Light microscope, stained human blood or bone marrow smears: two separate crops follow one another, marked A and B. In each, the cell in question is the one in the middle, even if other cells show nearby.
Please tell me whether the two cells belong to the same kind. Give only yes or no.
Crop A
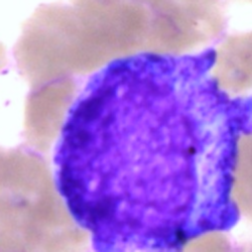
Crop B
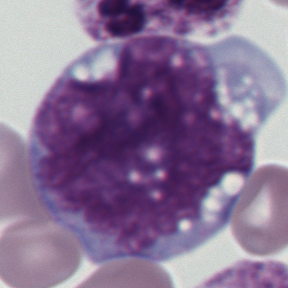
no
